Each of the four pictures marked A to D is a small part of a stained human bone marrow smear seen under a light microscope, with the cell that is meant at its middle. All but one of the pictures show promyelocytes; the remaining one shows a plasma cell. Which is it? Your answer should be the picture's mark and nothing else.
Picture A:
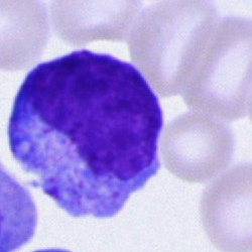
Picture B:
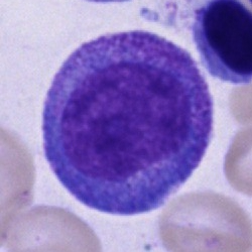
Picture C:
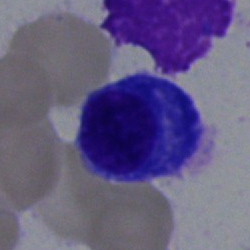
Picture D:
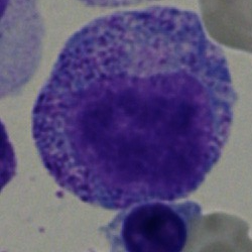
C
